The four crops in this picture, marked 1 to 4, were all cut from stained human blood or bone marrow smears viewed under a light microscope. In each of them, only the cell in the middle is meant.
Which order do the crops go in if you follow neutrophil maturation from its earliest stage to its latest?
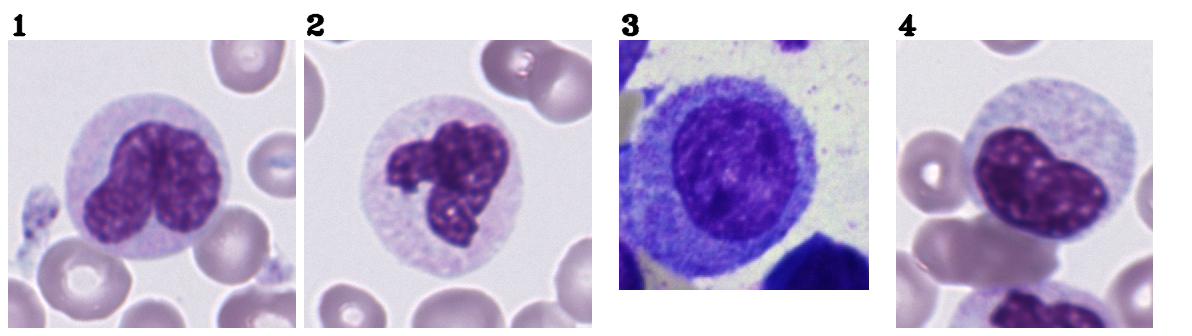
3, 4, 1, 2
